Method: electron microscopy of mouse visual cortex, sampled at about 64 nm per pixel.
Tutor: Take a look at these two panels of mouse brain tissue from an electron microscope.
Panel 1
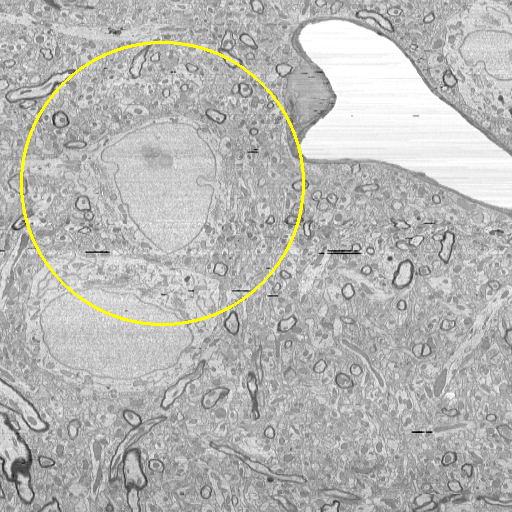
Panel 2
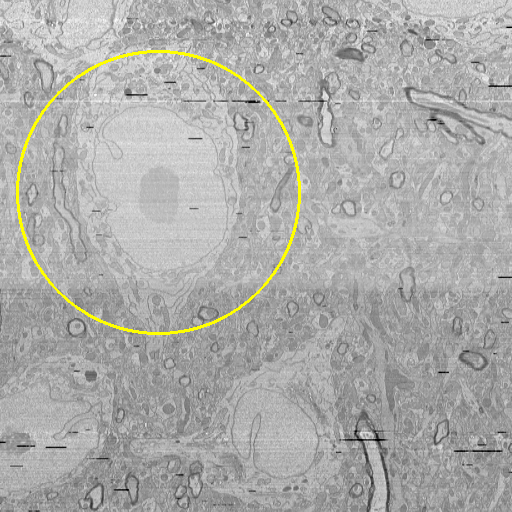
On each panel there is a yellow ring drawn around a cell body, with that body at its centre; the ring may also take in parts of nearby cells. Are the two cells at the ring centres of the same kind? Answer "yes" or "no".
yes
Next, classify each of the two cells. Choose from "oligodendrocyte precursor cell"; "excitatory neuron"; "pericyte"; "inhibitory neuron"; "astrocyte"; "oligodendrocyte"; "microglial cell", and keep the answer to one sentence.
In each picture the ringed cell is an excitatory neuron.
